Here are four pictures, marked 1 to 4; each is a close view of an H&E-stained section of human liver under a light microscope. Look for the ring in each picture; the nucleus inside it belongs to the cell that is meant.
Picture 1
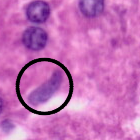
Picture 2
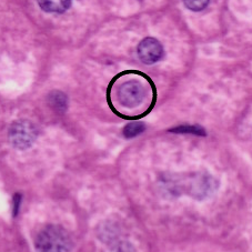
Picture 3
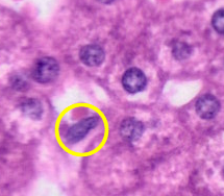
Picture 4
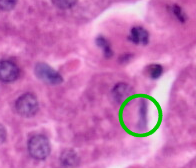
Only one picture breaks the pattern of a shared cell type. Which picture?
2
